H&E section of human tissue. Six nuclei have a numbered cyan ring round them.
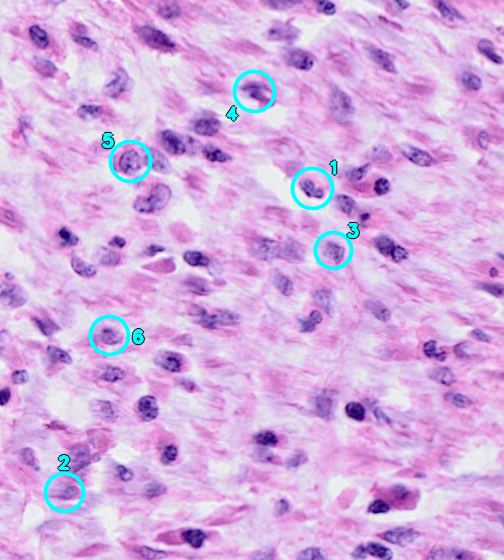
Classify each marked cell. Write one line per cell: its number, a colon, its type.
1: lymphocyte
2: fibroblast
3: fibroblast
4: fibroblast
5: macrophage or monocyte
6: fibroblast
